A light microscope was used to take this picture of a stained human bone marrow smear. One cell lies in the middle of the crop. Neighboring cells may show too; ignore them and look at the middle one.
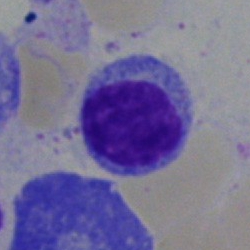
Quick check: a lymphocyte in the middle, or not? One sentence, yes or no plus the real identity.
Yes, as for the central cell, it is a lymphocyte.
